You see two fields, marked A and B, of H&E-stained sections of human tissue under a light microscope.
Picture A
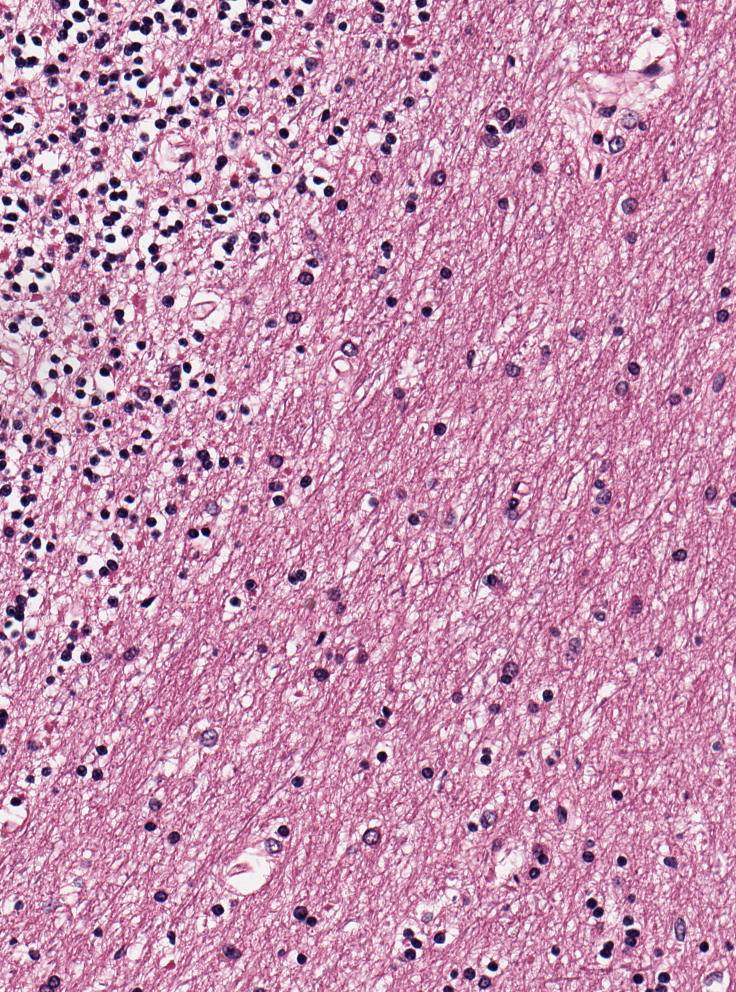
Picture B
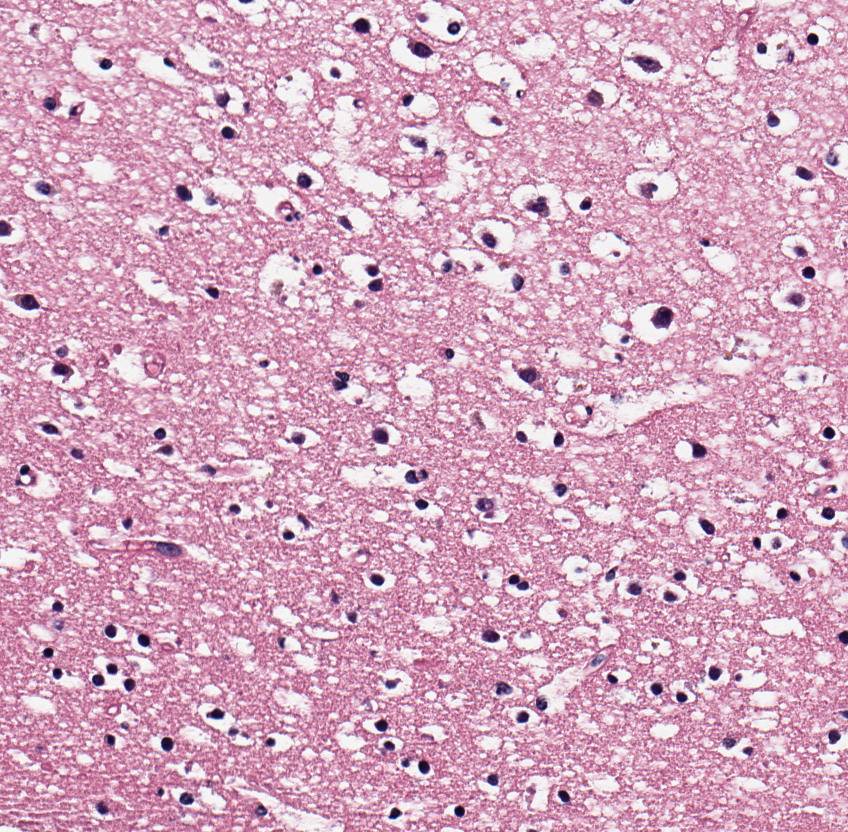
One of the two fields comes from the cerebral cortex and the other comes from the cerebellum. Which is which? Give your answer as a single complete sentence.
Picture B comes from the cerebral cortex, while picture A comes from the cerebellum.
